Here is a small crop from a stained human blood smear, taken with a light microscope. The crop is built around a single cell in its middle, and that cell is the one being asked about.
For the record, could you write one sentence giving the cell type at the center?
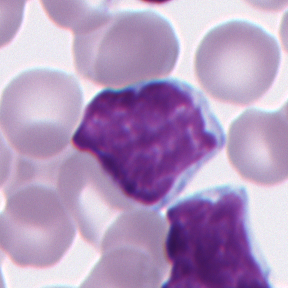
The cell at the central position in this crop is a typical lymphocyte.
